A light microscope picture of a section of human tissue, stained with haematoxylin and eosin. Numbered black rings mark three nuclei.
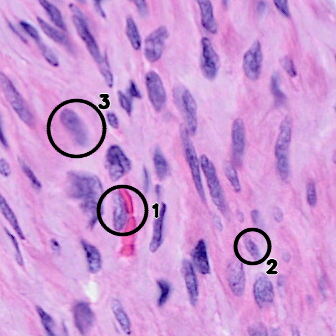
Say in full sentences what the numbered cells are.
Cell 1 is an endothelial cell, cell 2 is a smooth muscle cell and cell 3 is a smooth muscle cell.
